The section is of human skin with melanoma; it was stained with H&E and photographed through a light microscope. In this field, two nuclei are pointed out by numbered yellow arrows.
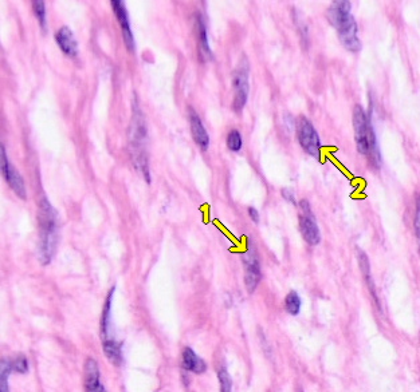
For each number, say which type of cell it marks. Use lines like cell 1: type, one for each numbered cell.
cell 1: fibroblast or myofibroblast
cell 2: macrophage or monocyte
